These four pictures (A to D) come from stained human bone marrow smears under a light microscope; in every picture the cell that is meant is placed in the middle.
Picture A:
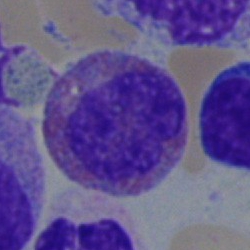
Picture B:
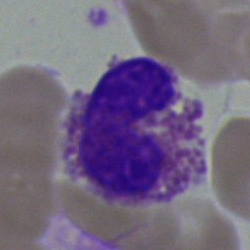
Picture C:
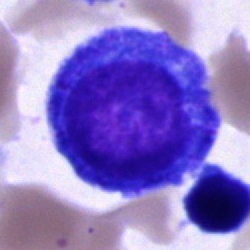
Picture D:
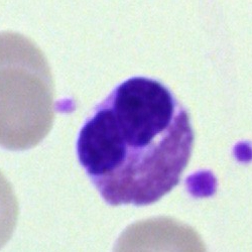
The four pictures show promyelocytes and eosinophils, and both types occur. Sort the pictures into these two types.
A: eosinophil
B: eosinophil
C: promyelocyte
D: eosinophil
